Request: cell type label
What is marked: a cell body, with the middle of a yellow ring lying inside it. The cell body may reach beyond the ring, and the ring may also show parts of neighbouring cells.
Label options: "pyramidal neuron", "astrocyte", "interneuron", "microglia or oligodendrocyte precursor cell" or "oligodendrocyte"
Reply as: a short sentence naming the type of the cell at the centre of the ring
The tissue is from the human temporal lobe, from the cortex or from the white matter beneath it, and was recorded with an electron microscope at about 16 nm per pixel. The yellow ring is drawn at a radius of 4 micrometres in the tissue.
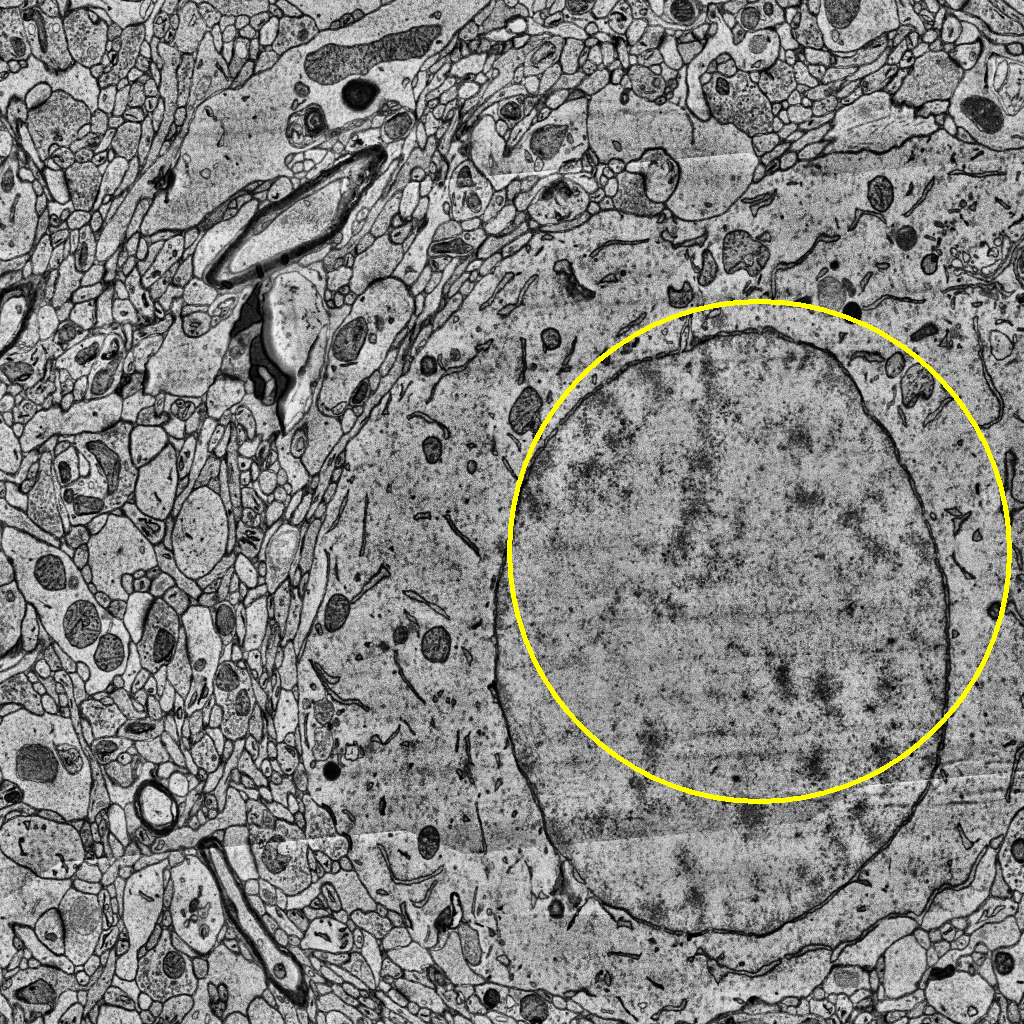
The marked cell body is that of a pyramidal neuron.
